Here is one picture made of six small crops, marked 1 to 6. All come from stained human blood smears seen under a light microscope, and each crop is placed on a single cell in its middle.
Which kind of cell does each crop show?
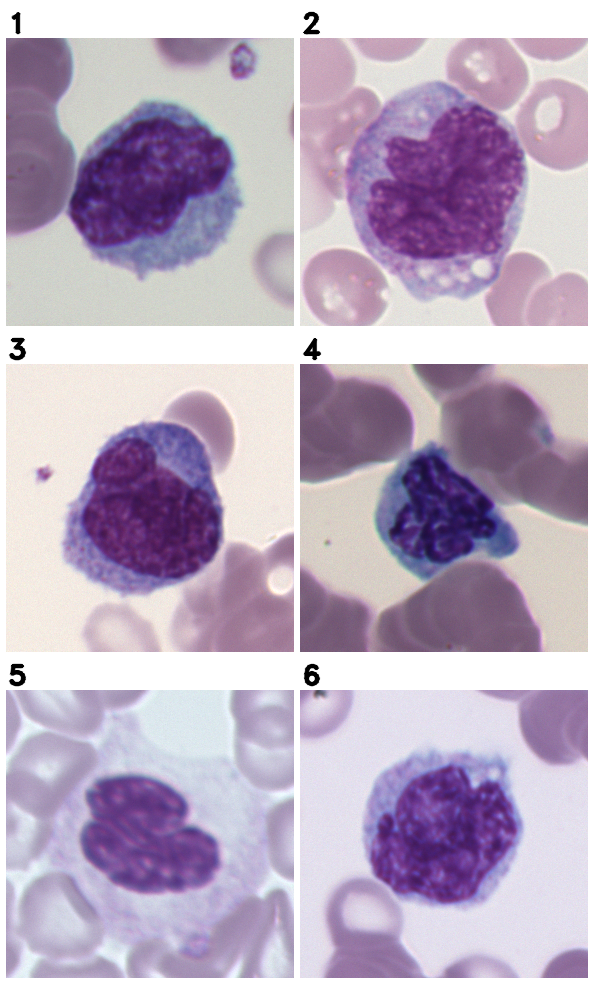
1: monocyte
2: monocyte
3: monocyte
4: monocyte
5: segmented neutrophil
6: monocyte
